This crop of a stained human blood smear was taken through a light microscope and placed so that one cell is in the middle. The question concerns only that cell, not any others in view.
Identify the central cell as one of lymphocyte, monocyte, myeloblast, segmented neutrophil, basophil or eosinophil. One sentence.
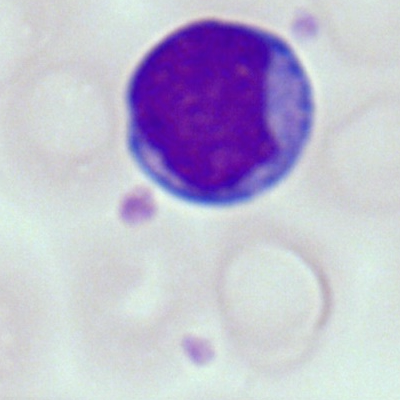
The central element of this crop is a cell, namely a myeloblast.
